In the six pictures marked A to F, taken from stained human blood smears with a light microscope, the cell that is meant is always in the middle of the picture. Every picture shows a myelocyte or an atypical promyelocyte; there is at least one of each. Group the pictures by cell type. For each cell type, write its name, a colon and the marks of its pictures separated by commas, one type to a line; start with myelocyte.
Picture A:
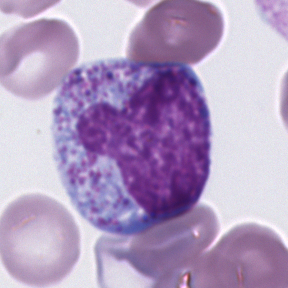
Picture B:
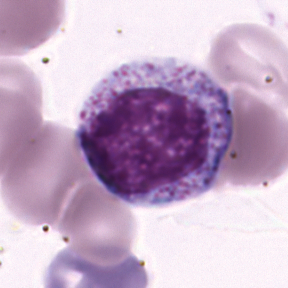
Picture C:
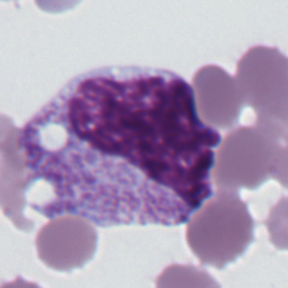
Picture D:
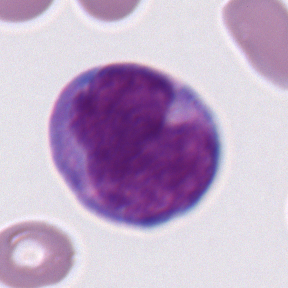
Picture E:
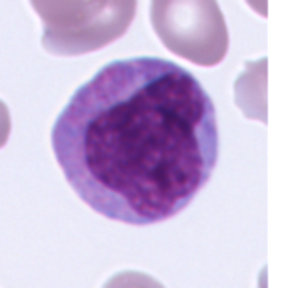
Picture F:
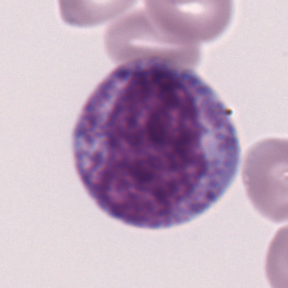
myelocyte: A, B, C, F
atypical promyelocyte: D, E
